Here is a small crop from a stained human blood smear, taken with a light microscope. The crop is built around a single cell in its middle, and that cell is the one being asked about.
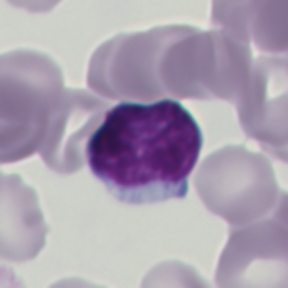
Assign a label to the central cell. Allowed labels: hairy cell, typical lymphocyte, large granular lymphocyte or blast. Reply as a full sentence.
The centrally located cell in the crop is a typical lymphocyte.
